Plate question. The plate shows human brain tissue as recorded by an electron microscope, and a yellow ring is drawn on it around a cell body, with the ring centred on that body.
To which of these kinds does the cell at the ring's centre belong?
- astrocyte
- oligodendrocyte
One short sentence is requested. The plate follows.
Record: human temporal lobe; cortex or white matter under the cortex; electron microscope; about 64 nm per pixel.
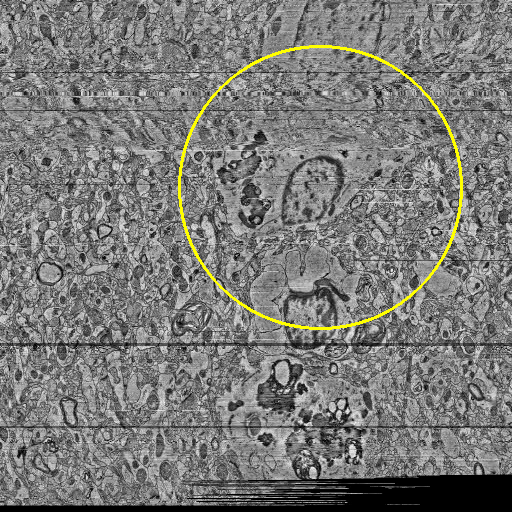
The cell at the ring's centre is an astrocyte.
